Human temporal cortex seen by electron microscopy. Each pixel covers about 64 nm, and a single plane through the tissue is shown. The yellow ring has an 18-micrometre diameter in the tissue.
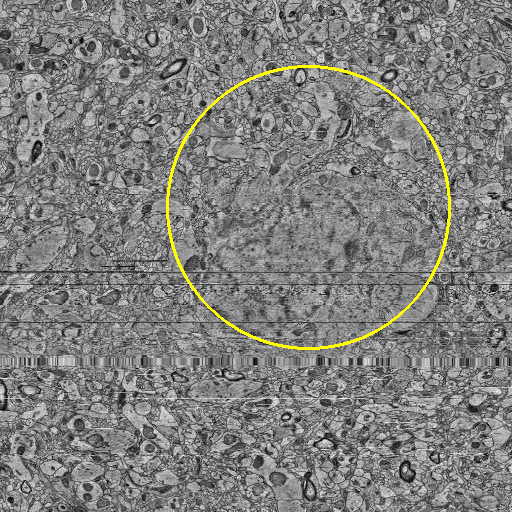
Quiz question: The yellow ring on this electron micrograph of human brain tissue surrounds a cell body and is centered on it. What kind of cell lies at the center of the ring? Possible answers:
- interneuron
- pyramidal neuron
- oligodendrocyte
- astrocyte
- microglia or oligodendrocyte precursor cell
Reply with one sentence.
The ring's center lies on an interneuron.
